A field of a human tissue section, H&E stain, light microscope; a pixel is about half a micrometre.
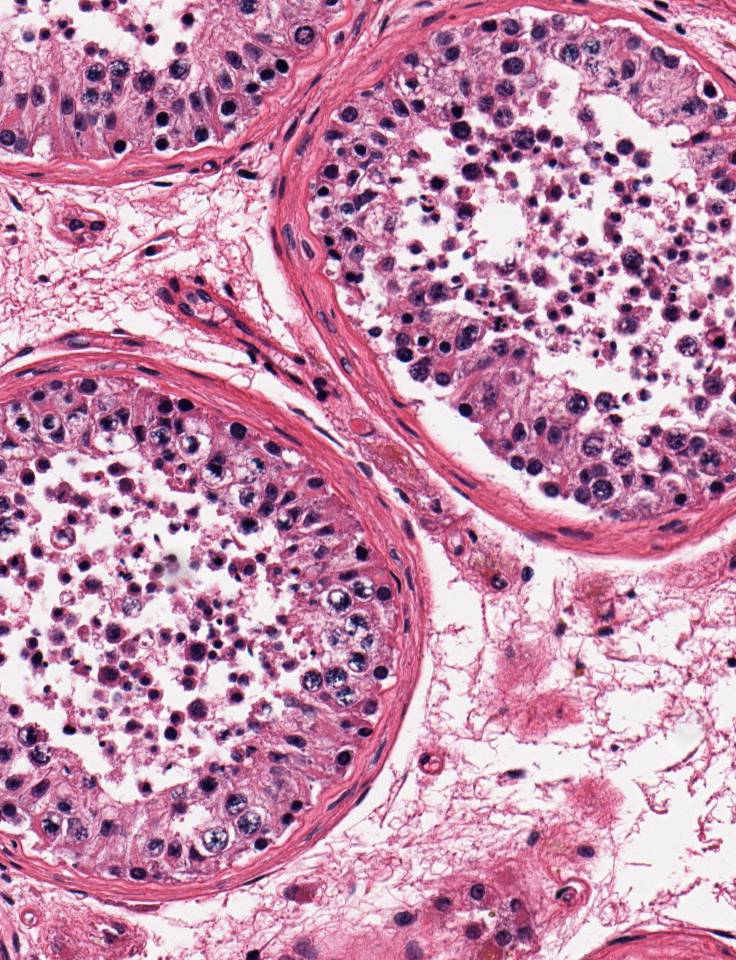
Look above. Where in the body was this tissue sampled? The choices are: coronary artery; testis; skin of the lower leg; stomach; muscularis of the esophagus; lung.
testis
